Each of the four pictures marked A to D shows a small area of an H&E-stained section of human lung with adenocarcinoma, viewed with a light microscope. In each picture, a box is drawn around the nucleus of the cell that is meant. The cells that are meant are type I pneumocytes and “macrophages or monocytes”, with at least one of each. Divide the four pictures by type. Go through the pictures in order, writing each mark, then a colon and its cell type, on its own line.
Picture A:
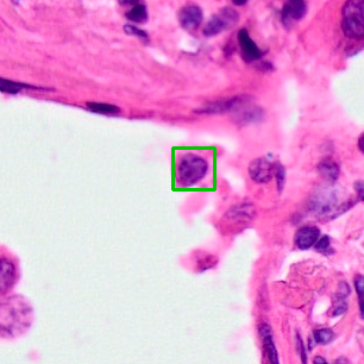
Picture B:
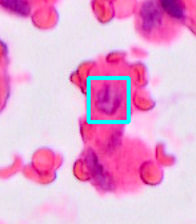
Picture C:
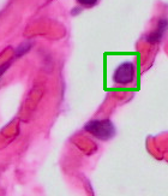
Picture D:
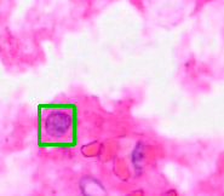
A: macrophage or monocyte
B: macrophage or monocyte
C: type I pneumocyte
D: macrophage or monocyte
